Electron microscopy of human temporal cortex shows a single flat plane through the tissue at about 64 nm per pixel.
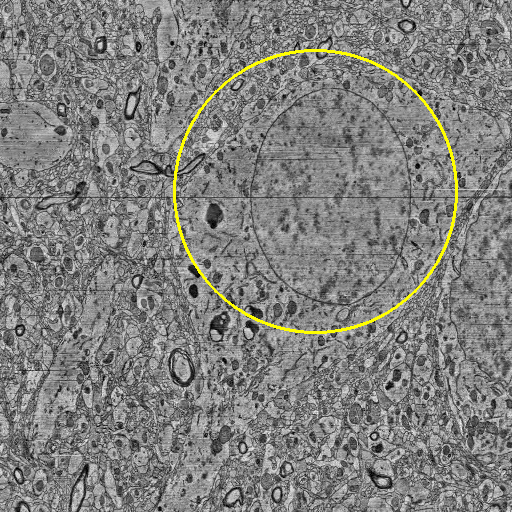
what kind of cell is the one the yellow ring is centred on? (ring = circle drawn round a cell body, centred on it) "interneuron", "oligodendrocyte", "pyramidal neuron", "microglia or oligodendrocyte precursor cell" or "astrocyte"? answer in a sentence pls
The ring is drawn around a pyramidal neuron.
